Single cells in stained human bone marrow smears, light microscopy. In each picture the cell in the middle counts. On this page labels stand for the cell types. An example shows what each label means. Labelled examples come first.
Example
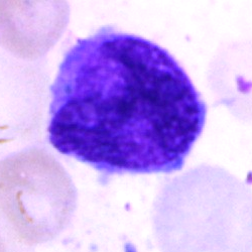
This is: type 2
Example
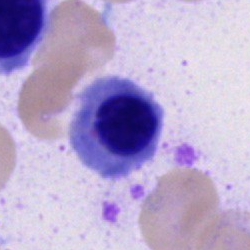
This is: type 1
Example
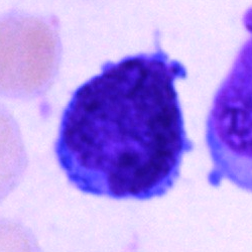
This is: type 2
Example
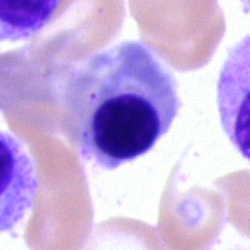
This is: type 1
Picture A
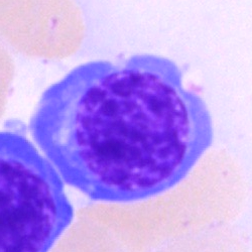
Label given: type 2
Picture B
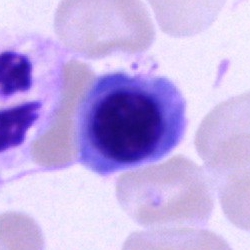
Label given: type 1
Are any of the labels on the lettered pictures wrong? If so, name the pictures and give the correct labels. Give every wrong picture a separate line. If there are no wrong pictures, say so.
A should be type 1, not type 2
